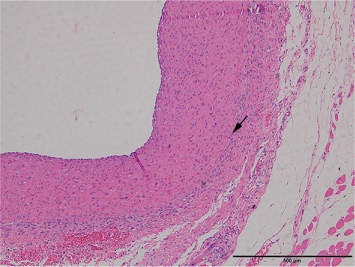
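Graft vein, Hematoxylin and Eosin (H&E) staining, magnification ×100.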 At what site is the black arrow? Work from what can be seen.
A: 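The lumen is the clear space at the top. The answer: boundary between intima and media.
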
